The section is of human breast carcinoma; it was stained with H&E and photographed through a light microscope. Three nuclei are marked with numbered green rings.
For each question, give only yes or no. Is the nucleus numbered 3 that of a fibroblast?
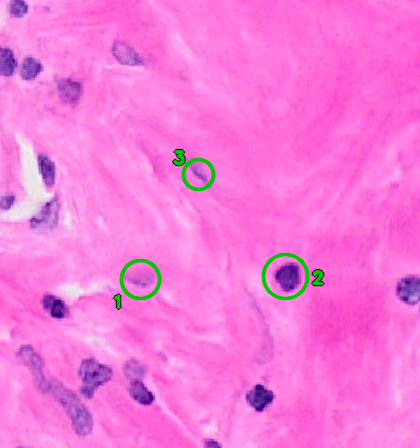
yes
